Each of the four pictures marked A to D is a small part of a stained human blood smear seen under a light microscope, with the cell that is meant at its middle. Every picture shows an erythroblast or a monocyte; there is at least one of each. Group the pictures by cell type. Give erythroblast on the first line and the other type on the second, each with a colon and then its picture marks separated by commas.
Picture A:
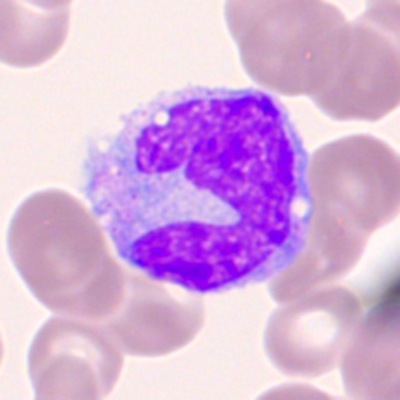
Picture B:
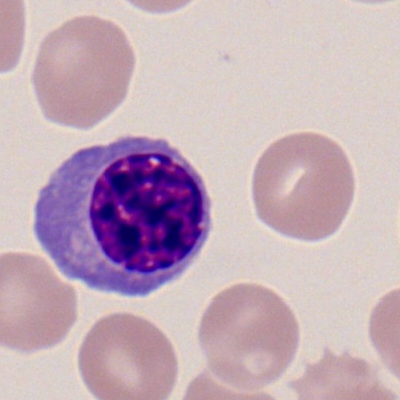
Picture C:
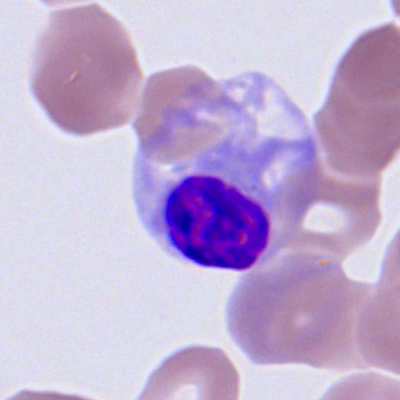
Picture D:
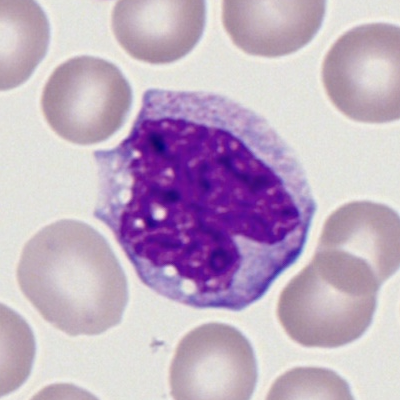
erythroblast: B, C
monocyte: A, D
